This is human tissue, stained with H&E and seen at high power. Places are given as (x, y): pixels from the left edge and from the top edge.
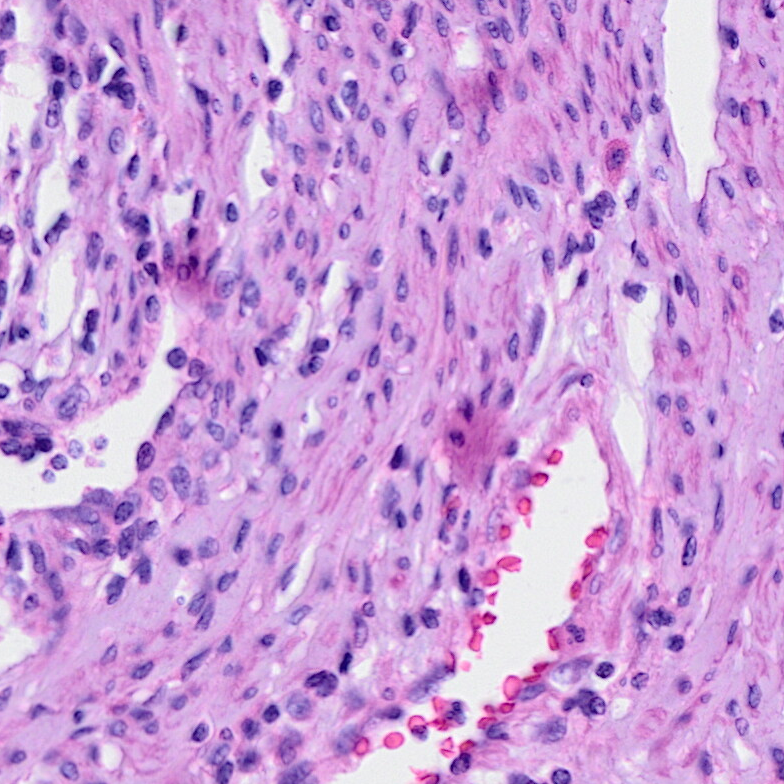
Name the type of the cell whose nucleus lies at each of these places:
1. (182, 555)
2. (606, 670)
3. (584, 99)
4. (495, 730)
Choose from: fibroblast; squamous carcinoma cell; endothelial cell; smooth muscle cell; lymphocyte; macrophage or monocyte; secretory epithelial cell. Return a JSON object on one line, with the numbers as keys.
{"1": "lymphocyte", "2": "lymphocyte", "3": "smooth muscle cell", "4": "endothelial cell"}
